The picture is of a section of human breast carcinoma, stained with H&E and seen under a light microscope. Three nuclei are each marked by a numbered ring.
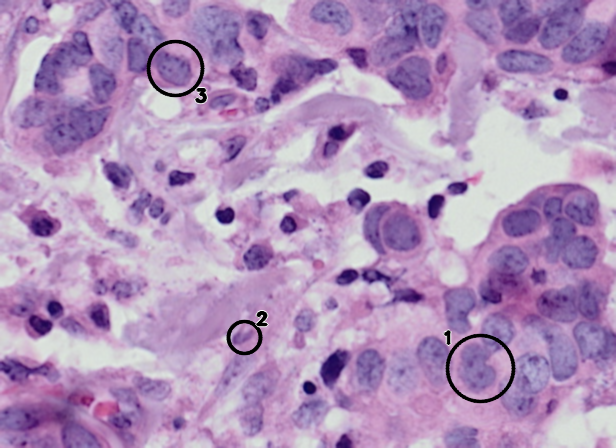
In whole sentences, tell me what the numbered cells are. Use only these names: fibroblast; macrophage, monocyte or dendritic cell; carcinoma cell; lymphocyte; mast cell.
Cell 1 is a carcinoma cell, cell 2 is a fibroblast and cell 3 is a carcinoma cell.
